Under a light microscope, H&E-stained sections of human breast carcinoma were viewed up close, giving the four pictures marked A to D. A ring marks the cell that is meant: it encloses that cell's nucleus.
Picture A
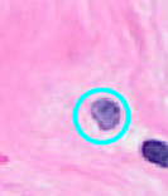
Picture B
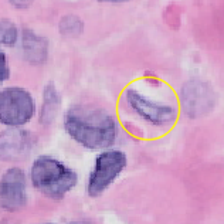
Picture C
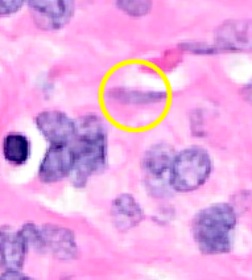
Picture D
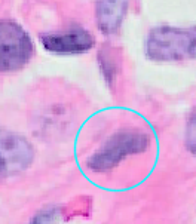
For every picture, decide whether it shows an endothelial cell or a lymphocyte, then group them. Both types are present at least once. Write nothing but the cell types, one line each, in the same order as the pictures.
lymphocyte
endothelial cell
endothelial cell
endothelial cell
